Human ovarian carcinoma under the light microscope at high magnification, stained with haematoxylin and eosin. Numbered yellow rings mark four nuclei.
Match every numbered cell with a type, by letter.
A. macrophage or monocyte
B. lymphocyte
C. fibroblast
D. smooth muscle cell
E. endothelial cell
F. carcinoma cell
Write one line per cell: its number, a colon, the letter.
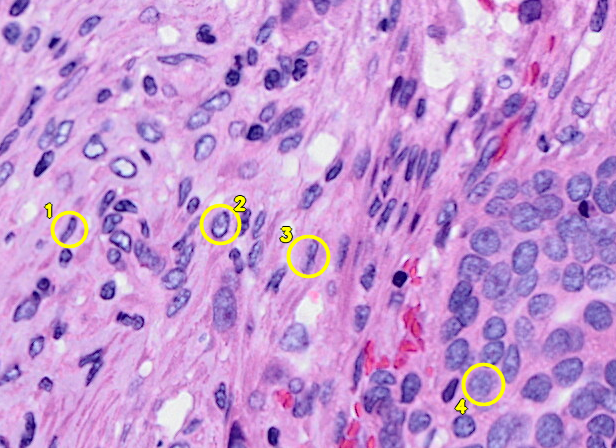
1: C
2: C
3: C
4: F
